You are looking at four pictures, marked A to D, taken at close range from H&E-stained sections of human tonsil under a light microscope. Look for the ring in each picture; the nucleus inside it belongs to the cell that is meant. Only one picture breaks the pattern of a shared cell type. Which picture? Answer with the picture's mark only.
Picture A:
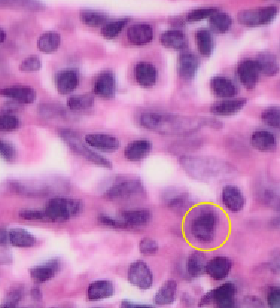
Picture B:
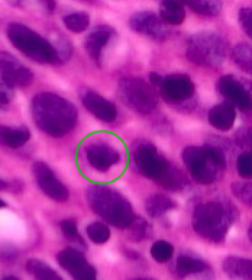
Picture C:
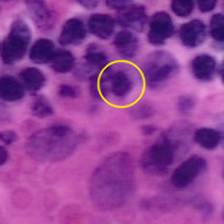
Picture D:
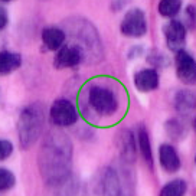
B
